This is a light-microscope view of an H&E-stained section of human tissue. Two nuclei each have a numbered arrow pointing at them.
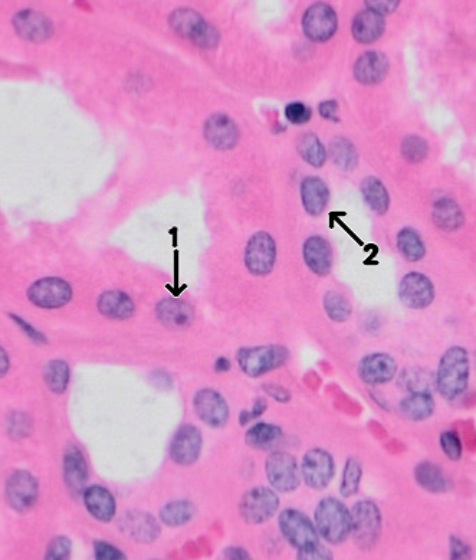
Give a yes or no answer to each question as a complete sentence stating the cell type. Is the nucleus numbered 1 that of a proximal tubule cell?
Yes, the one with the number 1 is a proximal tubule cell.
